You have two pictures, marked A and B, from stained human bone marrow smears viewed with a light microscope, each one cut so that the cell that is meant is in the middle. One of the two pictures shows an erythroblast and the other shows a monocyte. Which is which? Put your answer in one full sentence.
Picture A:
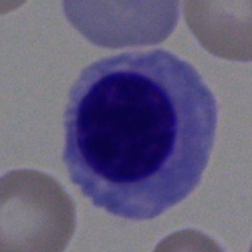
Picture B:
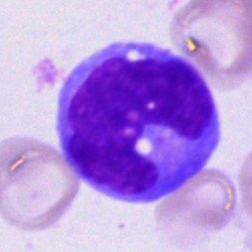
Picture B shows a monocyte, while picture A shows an erythroblast.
